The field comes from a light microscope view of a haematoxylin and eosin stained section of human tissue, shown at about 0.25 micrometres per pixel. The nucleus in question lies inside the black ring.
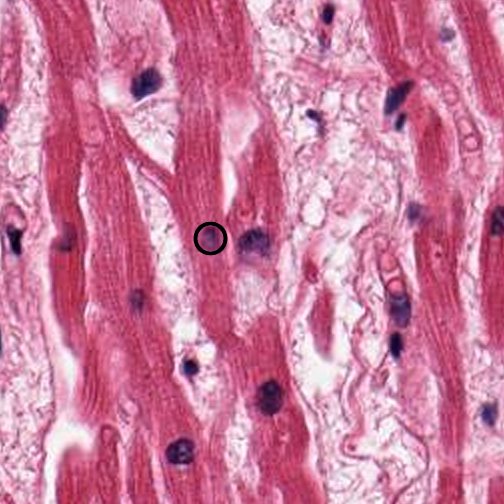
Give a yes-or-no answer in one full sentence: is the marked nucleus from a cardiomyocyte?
Yes, the marked nucleus is that of a cardiomyocyte in this section.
